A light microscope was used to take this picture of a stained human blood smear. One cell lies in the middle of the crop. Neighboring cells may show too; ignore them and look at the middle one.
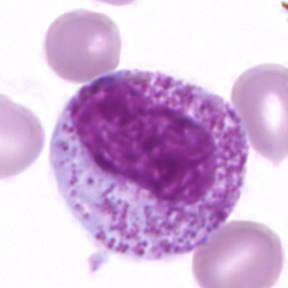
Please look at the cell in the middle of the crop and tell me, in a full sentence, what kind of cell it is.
In this crop, the cell at the very middle is a metamyelocyte.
